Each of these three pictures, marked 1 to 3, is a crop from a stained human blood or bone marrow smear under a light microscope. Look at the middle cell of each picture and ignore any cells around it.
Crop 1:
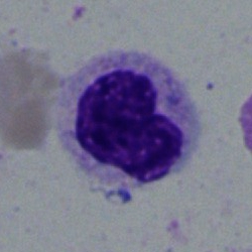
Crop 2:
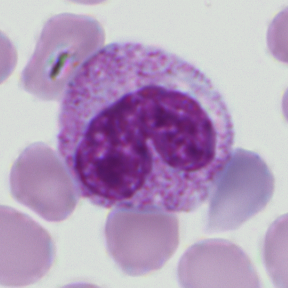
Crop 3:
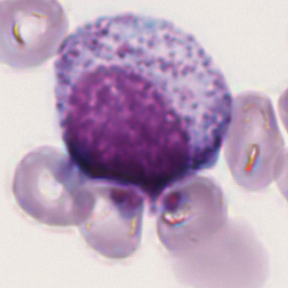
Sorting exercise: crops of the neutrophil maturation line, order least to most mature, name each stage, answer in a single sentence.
In ascending order of maturity, the sequence is crop 3 (a myelocyte), crop 1 (a metamyelocyte) and crop 2 (a band neutrophil).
